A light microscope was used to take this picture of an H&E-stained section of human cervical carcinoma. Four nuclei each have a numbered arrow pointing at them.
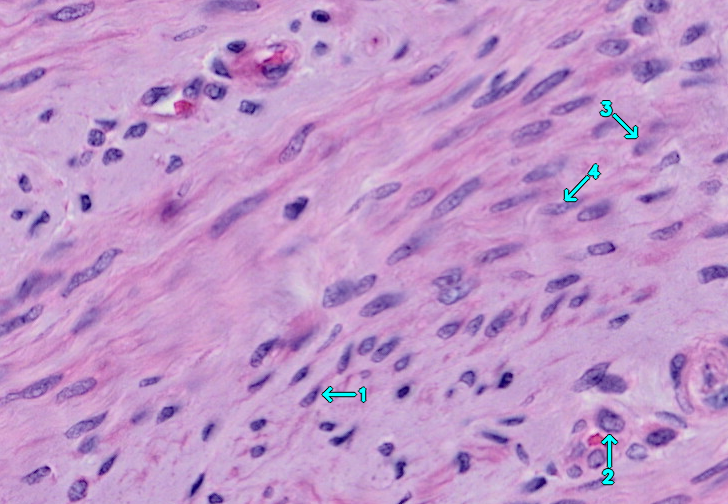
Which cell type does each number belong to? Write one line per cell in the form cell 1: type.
cell 1: smooth muscle cell
cell 2: endothelial cell
cell 3: smooth muscle cell
cell 4: smooth muscle cell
